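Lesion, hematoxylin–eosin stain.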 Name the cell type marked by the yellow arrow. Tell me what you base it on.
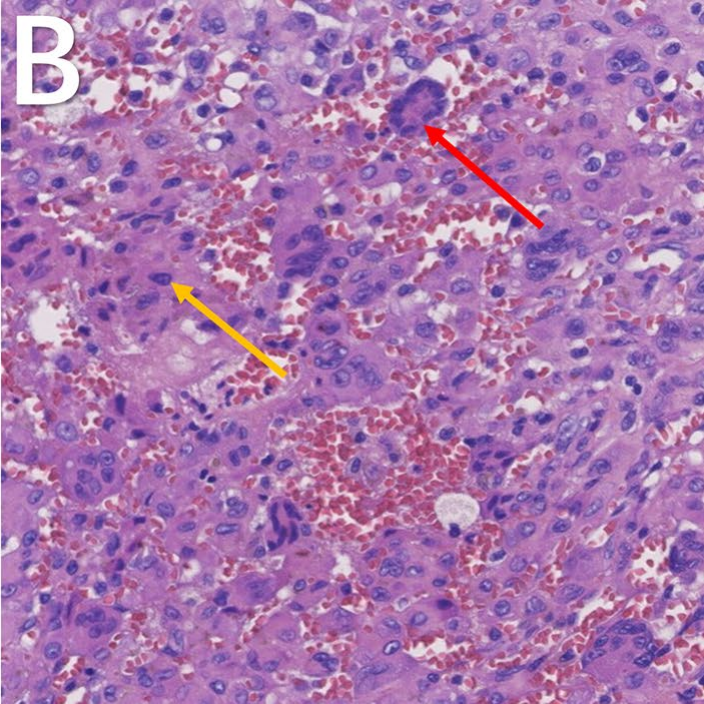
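The yellow arrow points to a cell of ordinary size. That cell has a single oval nucleus. Similar single-nucleus cells fill much of the field.
Conclusion: mononuclear cells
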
